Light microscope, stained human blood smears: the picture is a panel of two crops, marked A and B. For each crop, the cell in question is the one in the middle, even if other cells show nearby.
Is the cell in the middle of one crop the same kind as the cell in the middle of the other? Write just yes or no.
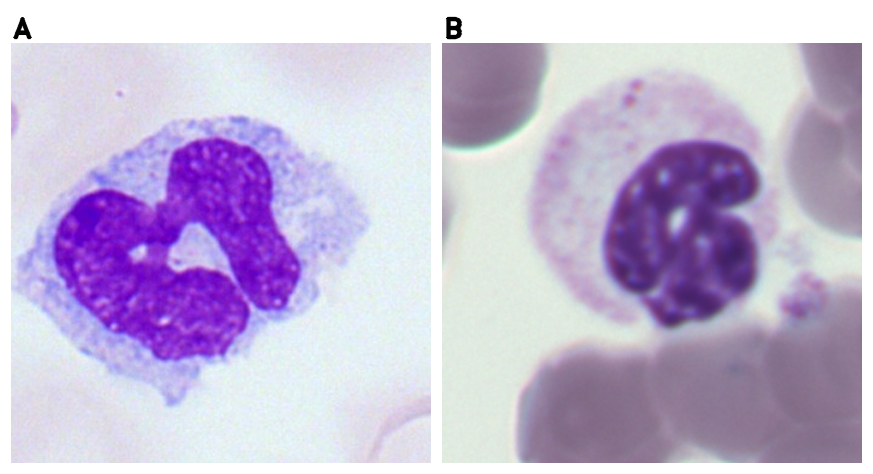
no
